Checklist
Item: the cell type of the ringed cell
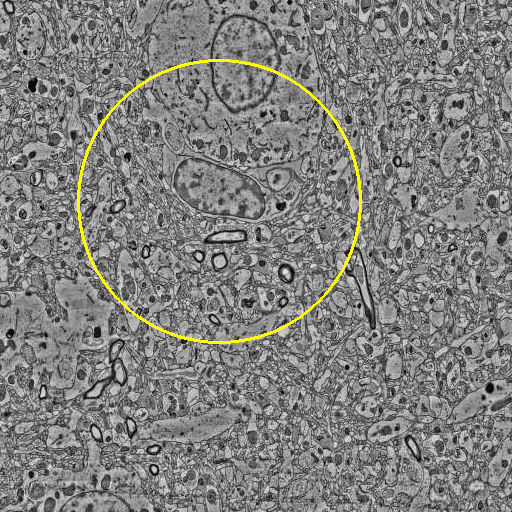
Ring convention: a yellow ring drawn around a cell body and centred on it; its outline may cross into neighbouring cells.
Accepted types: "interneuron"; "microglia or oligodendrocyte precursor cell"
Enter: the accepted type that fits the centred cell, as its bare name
microglia or oligodendrocyte precursor cell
